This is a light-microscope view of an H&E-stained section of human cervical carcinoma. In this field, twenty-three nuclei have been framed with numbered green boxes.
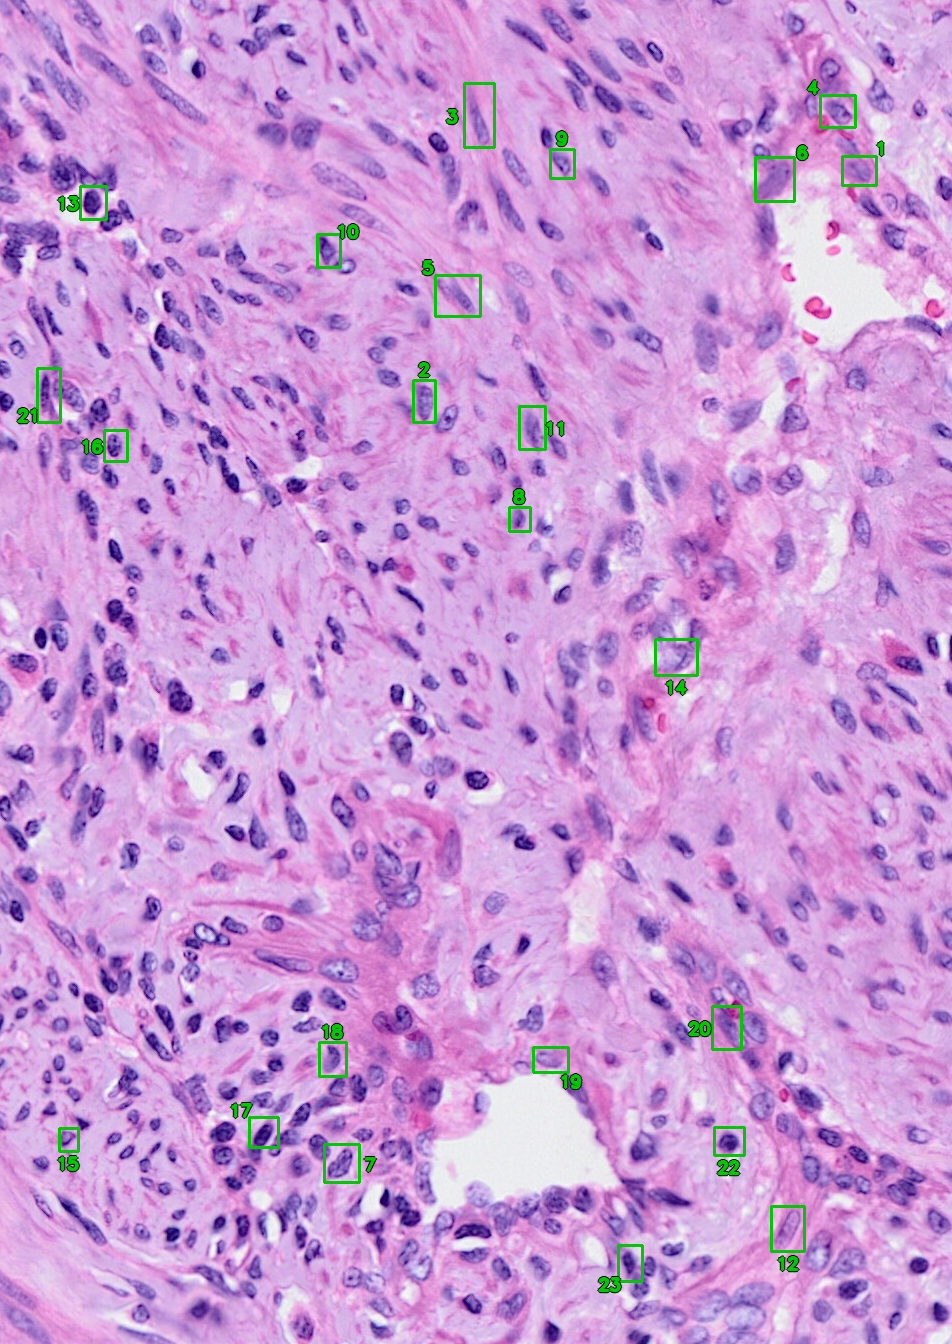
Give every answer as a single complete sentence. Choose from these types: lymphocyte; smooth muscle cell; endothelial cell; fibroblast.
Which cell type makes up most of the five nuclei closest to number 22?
Endothelial cells make up most of the five nuclei closest to number 22.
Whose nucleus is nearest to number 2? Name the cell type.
Number 2 lies closest to the nucleus of a smooth muscle cell.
